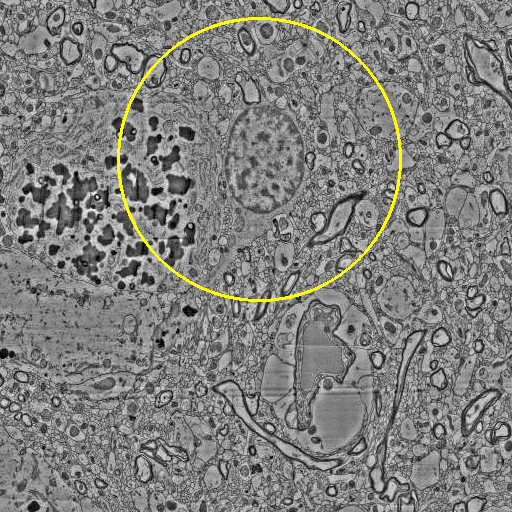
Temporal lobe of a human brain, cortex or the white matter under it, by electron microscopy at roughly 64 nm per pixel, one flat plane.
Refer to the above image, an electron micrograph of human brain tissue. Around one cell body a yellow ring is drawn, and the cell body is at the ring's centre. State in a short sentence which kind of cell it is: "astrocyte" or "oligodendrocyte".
The centre of the ring falls on an oligodendrocyte.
